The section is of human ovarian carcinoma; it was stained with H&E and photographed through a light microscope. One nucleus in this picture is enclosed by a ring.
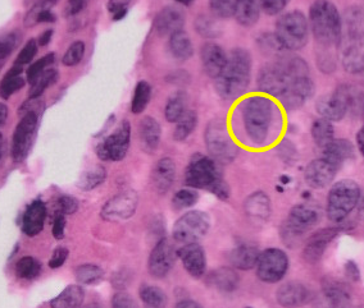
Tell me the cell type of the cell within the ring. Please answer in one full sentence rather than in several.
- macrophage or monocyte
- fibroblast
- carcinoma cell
For cell typing purposes, the cell within the ring is a carcinoma cell.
